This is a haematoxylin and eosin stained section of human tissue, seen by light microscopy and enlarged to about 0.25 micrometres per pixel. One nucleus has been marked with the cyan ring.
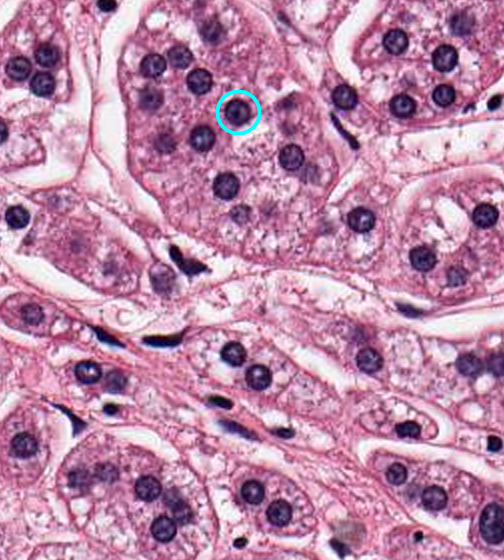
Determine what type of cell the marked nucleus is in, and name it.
adrenal cortical cell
